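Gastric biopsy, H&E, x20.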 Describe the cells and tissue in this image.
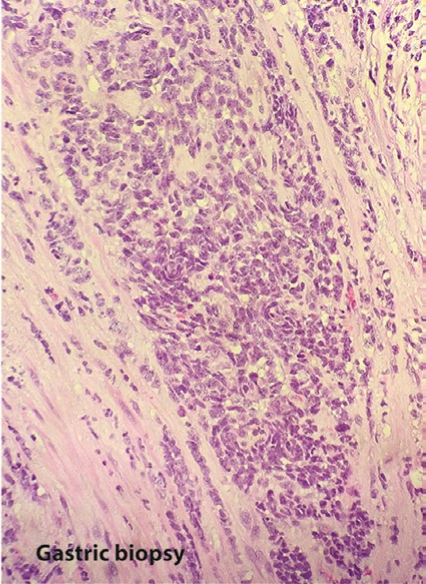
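The nuclei are oval to spindled and crowd one another. Little or no cytoplasm can be made out between them. Toward the edges the stroma forms bundles of elongated pink fibres that flank the crowded sheet.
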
